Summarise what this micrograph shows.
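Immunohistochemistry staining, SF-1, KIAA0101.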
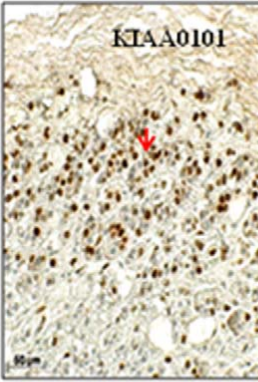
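Under a loose pale fibrous capsule, many round nuclei stain dark brown, most densely in the outer band of small crowded cells and more scattered in the deeper cords of larger pale cells. This is the adrenal cortex, with the strongest nuclear staining in the zona glomerulosa beneath the capsule.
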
